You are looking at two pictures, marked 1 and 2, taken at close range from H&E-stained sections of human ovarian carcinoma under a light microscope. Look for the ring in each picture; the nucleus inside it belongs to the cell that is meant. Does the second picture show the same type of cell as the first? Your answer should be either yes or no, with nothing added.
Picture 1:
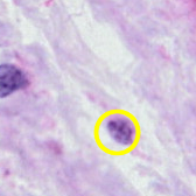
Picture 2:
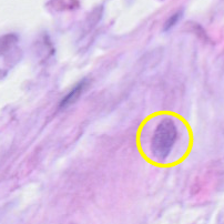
yes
